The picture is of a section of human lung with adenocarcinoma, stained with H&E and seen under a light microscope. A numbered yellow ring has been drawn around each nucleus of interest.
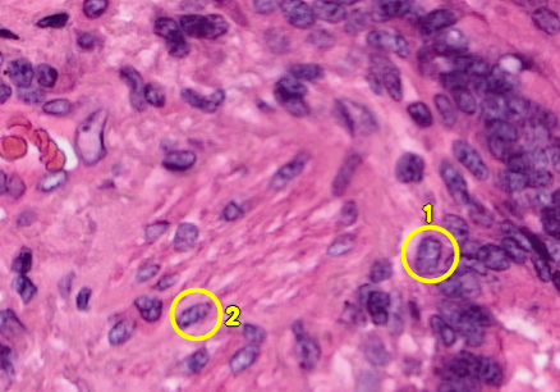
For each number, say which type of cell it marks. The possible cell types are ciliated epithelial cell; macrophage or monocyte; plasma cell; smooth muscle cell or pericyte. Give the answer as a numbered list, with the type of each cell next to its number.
1. ciliated epithelial cell
2. smooth muscle cell or pericyte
